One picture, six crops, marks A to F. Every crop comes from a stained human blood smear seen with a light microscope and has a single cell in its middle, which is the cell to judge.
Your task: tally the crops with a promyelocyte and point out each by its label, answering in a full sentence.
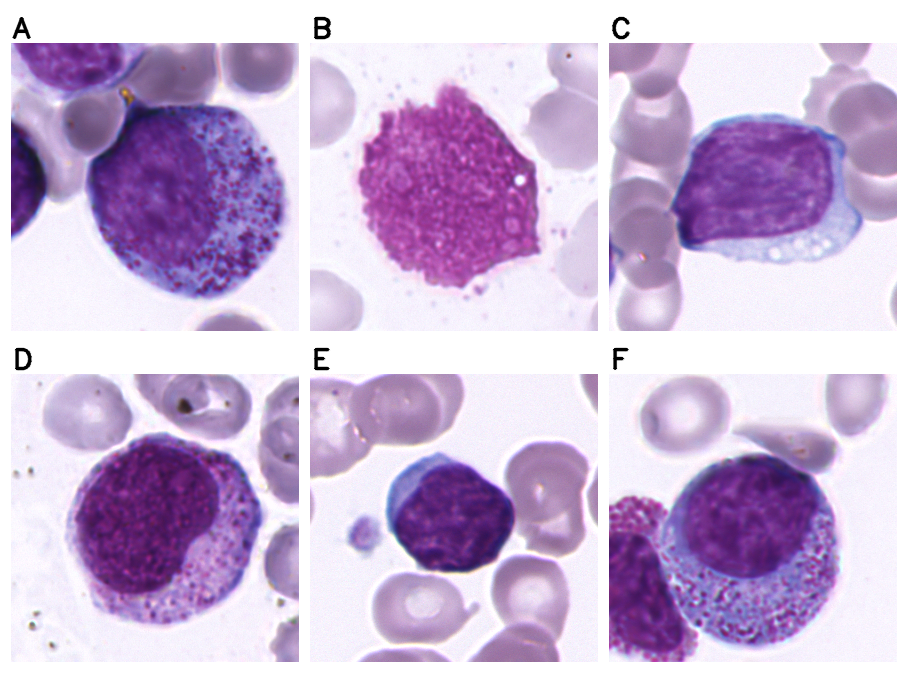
In crops A, D and F, that is three crops, the cells are promyelocytes.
